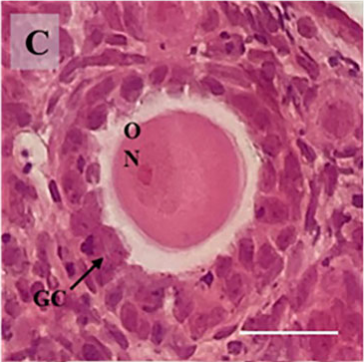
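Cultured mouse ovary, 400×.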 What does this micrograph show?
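This is a secondary follicle in ovarian tissue, with a large round oocyte at its centre. The oocyte has evenly pink cytoplasm and is bounded by a smooth pale ring. Around it lie several layers of granulosa cells with dark purple oval nuclei, packed closely together. Outside the follicle the stroma has more elongated cells.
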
